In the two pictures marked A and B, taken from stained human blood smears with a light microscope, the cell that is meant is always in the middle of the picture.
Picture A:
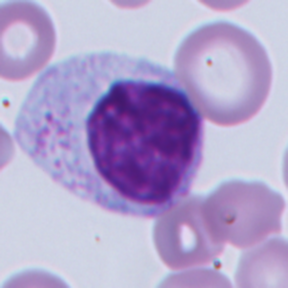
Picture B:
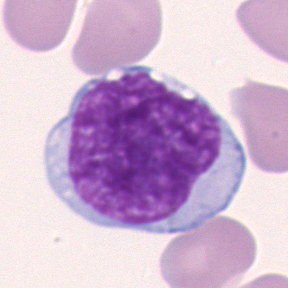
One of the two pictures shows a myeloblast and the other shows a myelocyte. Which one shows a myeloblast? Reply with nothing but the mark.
B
